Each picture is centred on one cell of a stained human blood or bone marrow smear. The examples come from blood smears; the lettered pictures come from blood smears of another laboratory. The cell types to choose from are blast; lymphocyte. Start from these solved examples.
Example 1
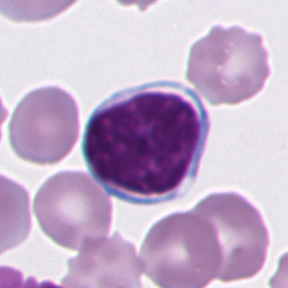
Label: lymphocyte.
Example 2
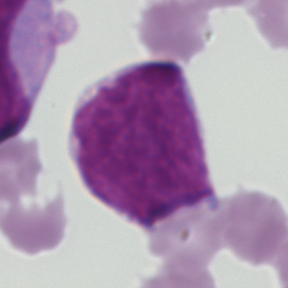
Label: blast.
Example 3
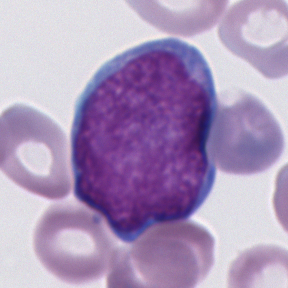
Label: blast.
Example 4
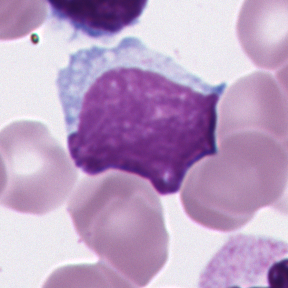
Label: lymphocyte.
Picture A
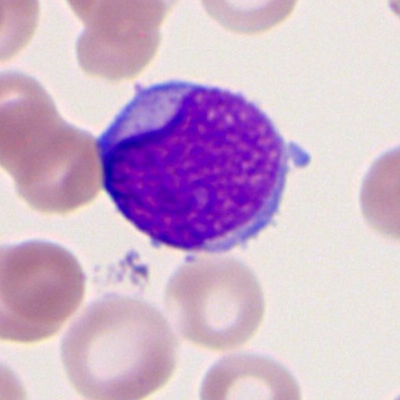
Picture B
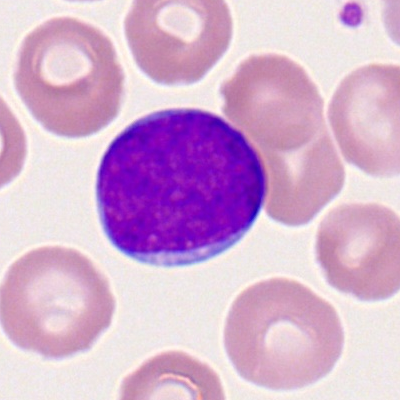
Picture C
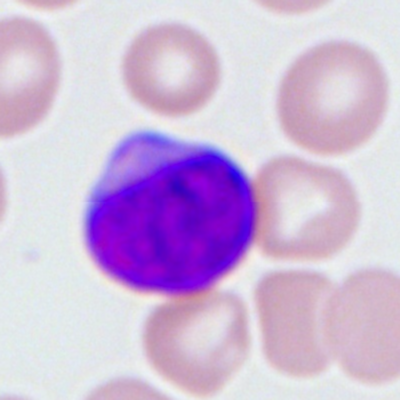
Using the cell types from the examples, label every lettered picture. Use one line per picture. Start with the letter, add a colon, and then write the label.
A: blast.
B: blast.
C: blast.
